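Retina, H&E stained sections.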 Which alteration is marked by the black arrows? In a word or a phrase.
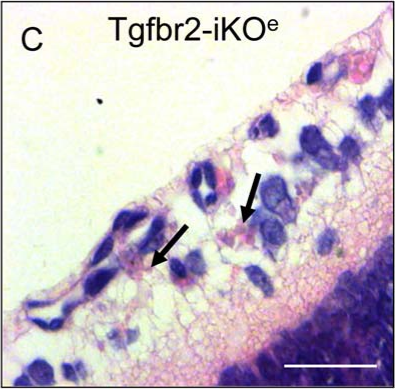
microhaemorrhage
